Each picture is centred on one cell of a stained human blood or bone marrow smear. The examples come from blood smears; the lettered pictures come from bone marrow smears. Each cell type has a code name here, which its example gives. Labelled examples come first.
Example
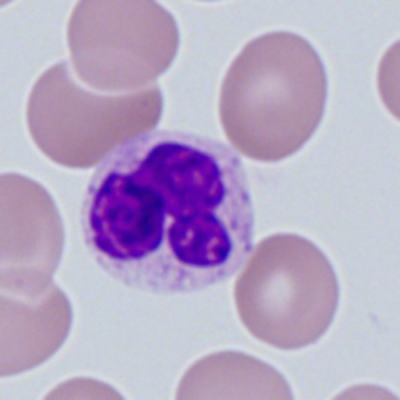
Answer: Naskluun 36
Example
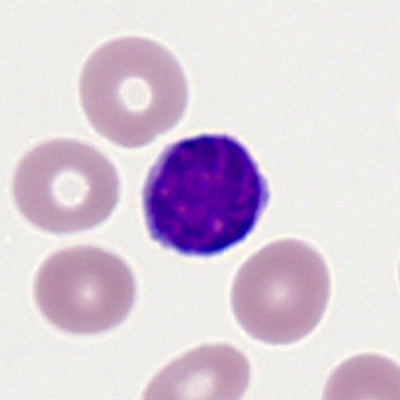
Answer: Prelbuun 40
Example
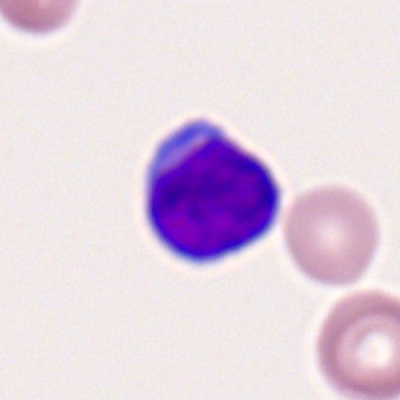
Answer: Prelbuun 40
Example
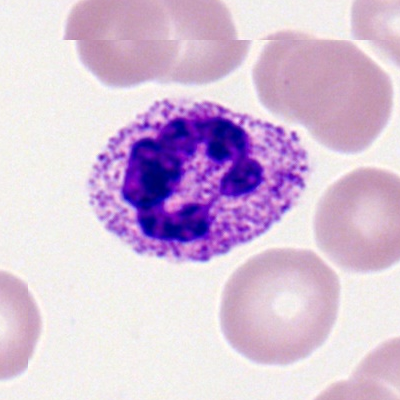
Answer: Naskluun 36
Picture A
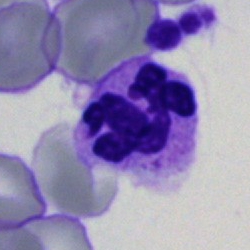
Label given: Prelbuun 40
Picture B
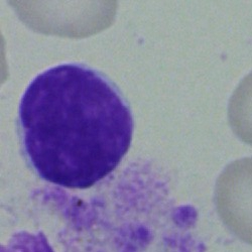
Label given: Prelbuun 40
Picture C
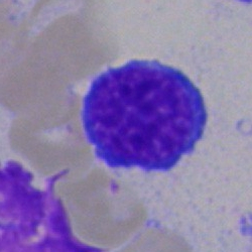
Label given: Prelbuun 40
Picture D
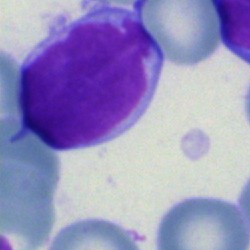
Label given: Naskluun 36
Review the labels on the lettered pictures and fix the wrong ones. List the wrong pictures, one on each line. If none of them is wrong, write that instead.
A: change Prelbuun 40 to Naskluun 36
D: change Naskluun 36 to Prelbuun 40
